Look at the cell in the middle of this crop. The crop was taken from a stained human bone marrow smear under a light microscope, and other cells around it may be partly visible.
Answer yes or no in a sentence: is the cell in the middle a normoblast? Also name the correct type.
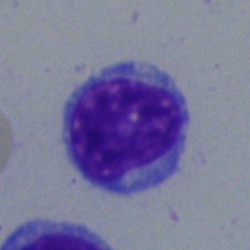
No, the cell in the middle should be called a lymphocyte instead of a normoblast.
